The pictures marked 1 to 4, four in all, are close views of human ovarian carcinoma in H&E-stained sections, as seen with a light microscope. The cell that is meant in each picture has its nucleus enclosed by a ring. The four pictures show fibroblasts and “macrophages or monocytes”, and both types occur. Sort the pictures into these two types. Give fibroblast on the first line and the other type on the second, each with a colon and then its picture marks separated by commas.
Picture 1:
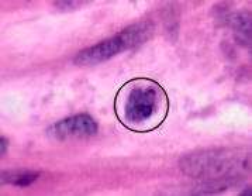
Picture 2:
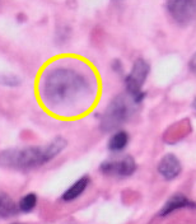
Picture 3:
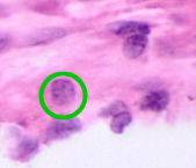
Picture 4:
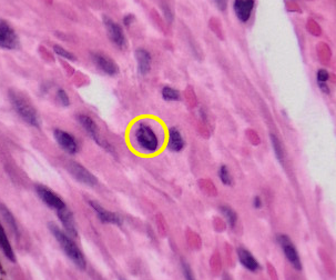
fibroblast: 2
macrophage or monocyte: 1, 3, 4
